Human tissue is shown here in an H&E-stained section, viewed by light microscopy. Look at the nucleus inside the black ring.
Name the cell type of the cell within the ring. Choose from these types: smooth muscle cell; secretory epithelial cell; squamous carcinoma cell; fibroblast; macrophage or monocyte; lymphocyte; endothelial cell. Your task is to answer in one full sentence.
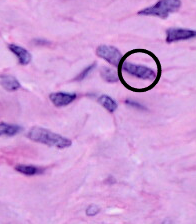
The expected answer is simply that the cell within the ring is a fibroblast.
